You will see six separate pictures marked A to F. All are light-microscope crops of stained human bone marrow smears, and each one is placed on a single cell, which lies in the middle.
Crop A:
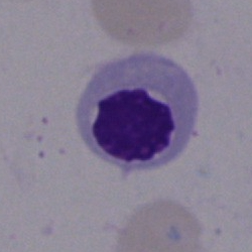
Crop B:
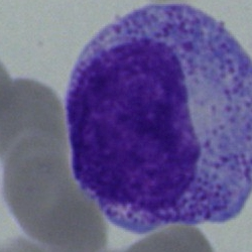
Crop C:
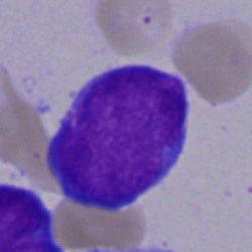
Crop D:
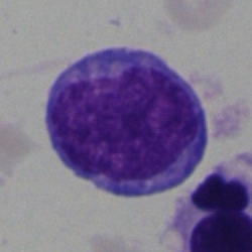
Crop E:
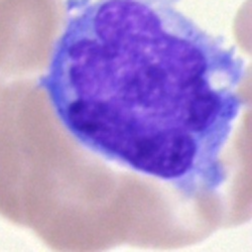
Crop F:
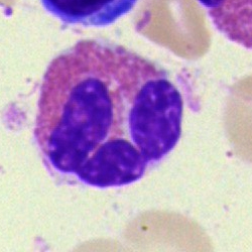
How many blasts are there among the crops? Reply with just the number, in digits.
2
